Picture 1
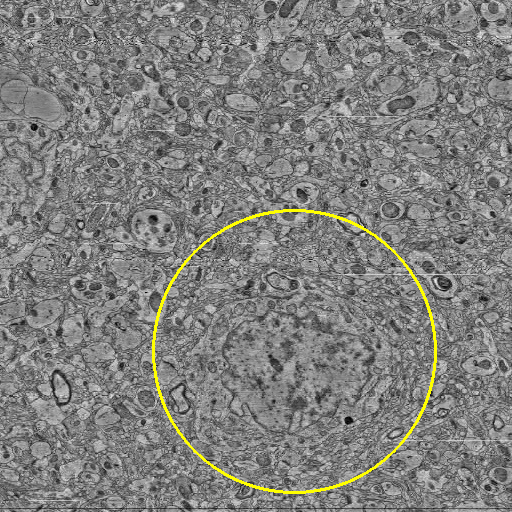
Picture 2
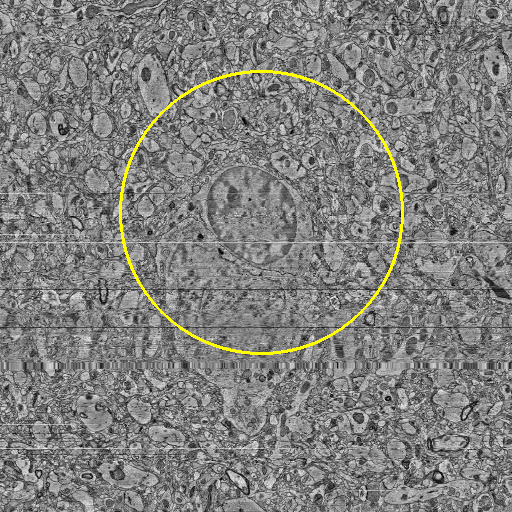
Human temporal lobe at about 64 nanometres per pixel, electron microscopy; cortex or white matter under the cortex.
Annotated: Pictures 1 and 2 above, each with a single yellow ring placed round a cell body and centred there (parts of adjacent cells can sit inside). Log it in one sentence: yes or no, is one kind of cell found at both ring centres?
No, the ring centres of the two pictures hold cells of two kinds.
